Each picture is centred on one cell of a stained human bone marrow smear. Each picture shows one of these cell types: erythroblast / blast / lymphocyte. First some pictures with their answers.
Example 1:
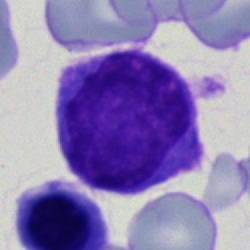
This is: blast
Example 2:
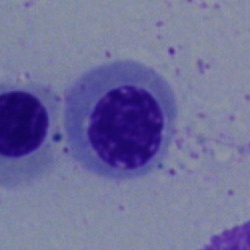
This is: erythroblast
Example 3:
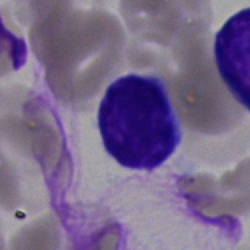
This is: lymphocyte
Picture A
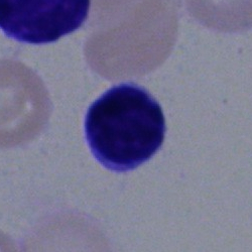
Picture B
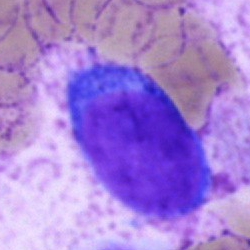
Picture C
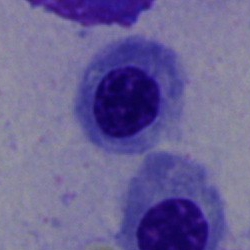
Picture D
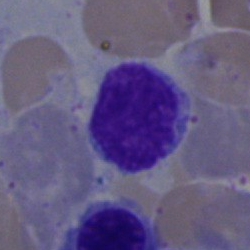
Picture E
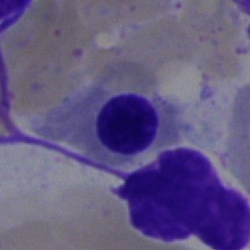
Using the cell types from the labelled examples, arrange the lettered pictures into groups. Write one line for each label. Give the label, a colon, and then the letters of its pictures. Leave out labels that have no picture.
erythroblast: C, E
blast: B
lymphocyte: A, D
